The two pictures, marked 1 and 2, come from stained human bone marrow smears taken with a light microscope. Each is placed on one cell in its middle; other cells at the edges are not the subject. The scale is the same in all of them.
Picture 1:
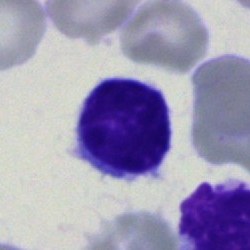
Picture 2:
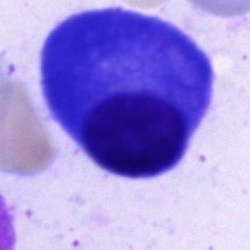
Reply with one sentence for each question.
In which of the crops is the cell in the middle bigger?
It is the cell in picture 2, about 2.5 times as large in area as the cell in picture 1.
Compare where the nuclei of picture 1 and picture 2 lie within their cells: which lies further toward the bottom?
It is the nucleus in picture 2 that lies further toward the bottom of its cell.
